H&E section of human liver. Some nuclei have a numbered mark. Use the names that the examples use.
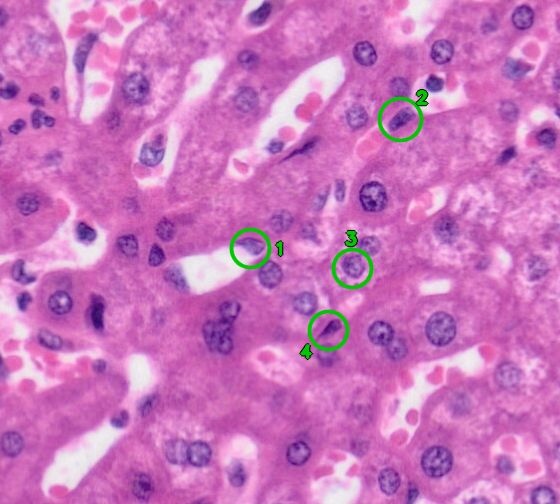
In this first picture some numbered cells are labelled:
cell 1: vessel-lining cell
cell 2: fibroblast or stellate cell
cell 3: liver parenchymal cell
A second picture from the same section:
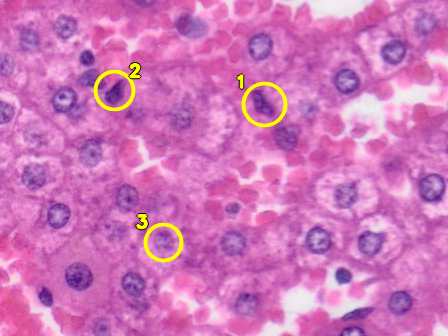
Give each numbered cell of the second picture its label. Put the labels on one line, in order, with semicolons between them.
fibroblast or stellate cell; fibroblast or stellate cell; liver parenchymal cell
